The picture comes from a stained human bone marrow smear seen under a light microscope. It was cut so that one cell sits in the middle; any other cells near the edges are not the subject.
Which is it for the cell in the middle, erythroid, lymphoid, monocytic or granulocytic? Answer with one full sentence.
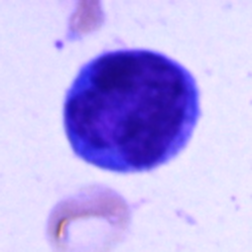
The cell at the crop's center sits within the monocytic lineage.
